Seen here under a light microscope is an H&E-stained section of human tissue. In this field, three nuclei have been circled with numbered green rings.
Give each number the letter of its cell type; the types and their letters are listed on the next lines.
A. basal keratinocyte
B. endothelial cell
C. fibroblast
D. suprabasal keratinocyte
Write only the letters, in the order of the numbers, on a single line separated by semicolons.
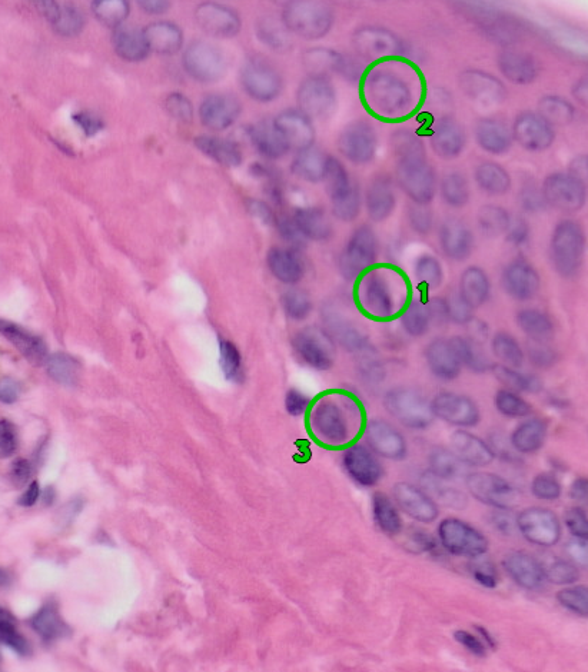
A; D; A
